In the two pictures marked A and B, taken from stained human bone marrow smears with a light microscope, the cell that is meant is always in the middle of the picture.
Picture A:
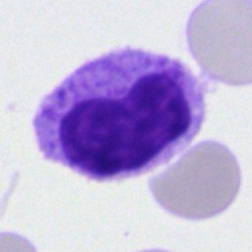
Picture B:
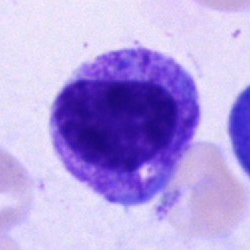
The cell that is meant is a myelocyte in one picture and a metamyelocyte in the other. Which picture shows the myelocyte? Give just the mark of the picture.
B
